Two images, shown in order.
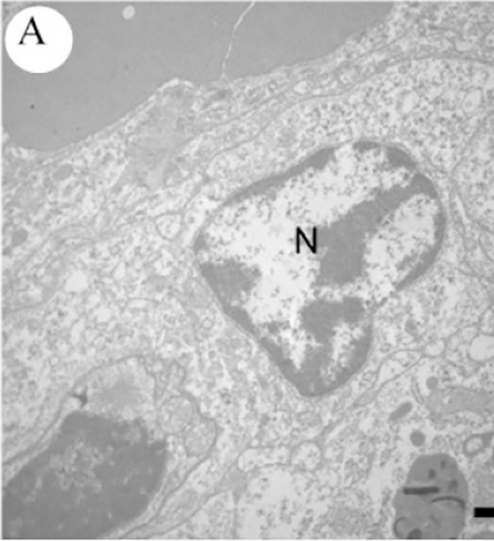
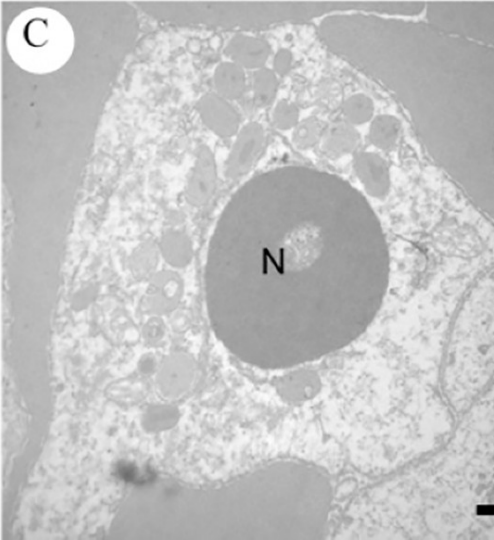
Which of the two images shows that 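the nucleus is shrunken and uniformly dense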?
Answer: The second image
